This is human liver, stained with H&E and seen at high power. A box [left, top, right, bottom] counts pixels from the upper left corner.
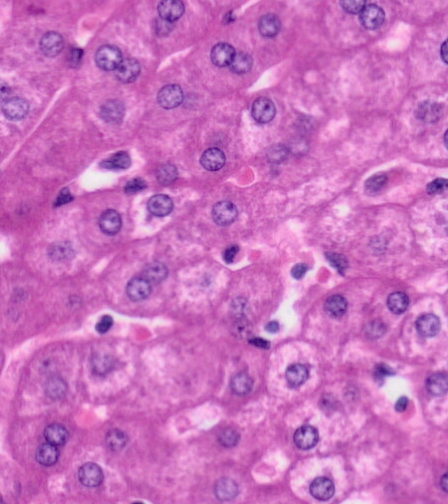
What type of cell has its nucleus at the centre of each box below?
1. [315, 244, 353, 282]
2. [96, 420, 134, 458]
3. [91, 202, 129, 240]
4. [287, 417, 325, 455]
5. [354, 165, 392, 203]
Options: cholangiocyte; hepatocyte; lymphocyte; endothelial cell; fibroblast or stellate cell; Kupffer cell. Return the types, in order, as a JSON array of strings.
["endothelial cell", "hepatocyte", "hepatocyte", "hepatocyte", "Kupffer cell"]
